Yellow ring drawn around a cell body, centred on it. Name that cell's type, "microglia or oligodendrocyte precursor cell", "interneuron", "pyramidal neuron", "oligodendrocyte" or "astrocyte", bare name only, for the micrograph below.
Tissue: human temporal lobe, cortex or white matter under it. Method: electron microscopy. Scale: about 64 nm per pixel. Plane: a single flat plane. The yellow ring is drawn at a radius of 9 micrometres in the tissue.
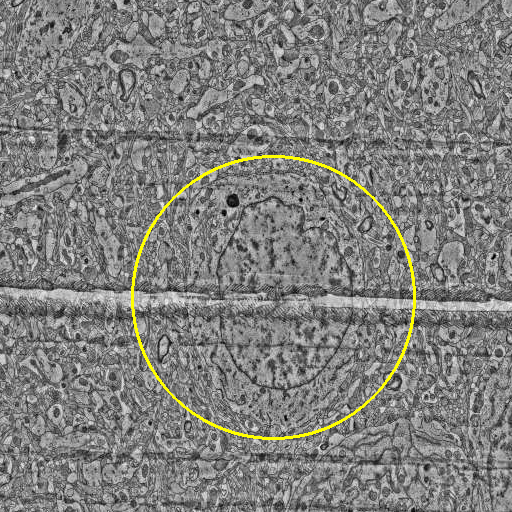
pyramidal neuron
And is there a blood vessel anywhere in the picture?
No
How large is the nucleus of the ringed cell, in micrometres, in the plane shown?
About 12 micrometres by about 9 micrometres in this plane.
